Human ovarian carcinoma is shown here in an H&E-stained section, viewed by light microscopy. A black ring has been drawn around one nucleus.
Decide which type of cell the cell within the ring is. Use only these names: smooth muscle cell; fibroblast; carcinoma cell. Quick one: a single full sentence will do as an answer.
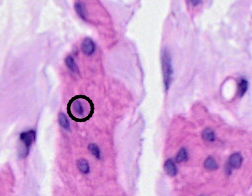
On this particular slide, the cell within the ring is a smooth muscle cell.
